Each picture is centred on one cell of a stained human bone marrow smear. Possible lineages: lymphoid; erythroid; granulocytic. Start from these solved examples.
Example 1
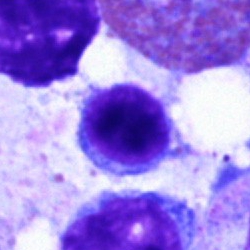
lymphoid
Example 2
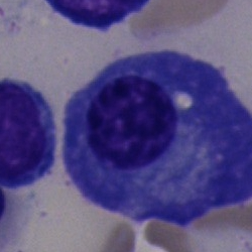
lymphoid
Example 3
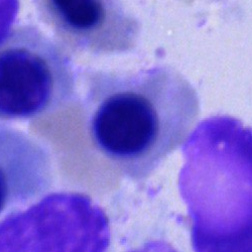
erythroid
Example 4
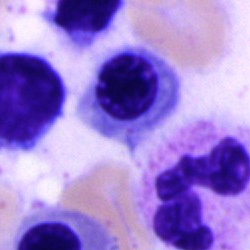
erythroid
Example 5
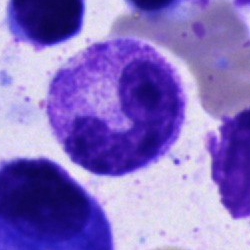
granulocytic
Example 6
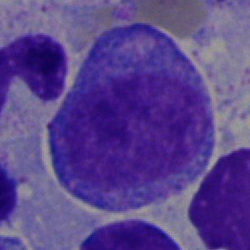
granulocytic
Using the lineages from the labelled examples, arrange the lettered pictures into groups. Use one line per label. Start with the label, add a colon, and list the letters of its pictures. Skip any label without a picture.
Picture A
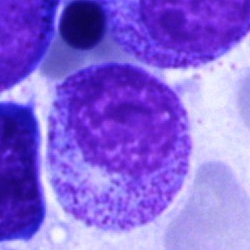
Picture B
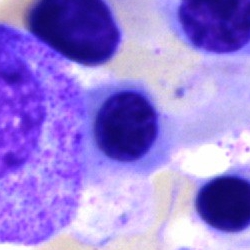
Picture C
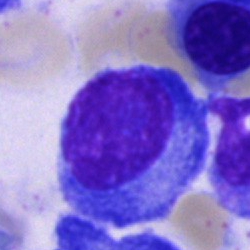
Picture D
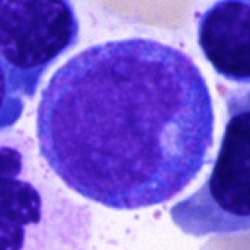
lymphoid: C
erythroid: B
granulocytic: A, D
